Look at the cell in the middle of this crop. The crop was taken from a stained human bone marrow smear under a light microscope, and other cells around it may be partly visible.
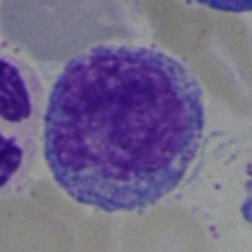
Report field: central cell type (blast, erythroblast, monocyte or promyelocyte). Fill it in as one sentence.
In the middle of this smear crop, the cell is a monocyte.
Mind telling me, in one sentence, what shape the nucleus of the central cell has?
The nuclear material is gathered into one compact round, oval or kidney-shaped mass.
